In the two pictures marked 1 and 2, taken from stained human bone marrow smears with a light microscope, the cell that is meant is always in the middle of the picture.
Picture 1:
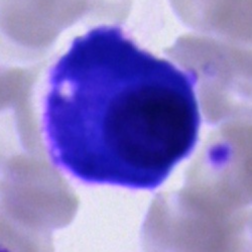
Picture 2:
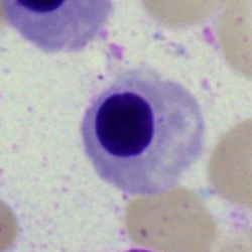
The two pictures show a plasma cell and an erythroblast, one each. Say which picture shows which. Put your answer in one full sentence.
In picture 1 the cell is a plasma cell; in picture 2, an erythroblast.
